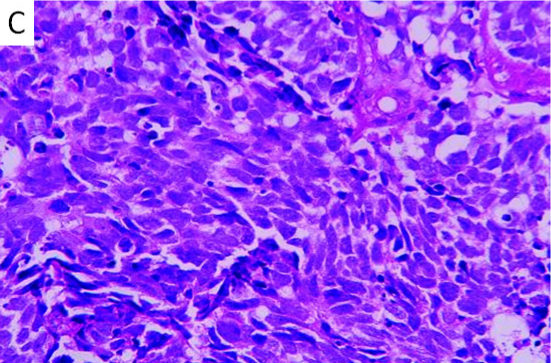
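Densely crowded tumor cells with dark purple, oval to elongated nuclei fill the field, with barely any cytoplasm around each nucleus. Many cells are drawn out into spindle shapes and run in streaming bundles. Neighbouring nuclei press against one another so that their outlines fit together, which is nuclear moulding. A few scattered clear spaces and a thin strand of pink stroma lie among the cells. This picture of small, crowded cells with scant cytoplasm, spindling and moulding is that of a small cell carcinoma.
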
